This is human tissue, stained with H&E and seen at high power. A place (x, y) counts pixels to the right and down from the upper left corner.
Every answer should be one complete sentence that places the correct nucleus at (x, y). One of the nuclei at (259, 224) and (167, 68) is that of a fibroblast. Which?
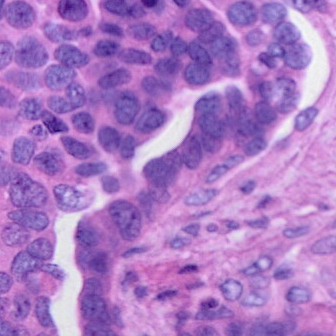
Answering which nucleus it is: the one at (259, 224), belonging to a fibroblast.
